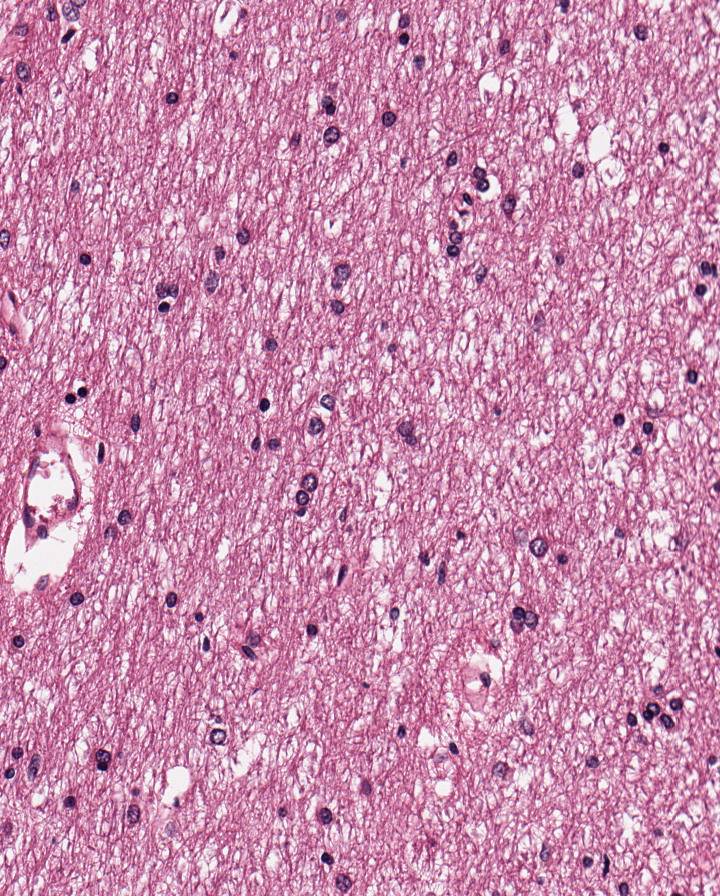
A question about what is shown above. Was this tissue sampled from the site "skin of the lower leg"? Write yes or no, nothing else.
no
